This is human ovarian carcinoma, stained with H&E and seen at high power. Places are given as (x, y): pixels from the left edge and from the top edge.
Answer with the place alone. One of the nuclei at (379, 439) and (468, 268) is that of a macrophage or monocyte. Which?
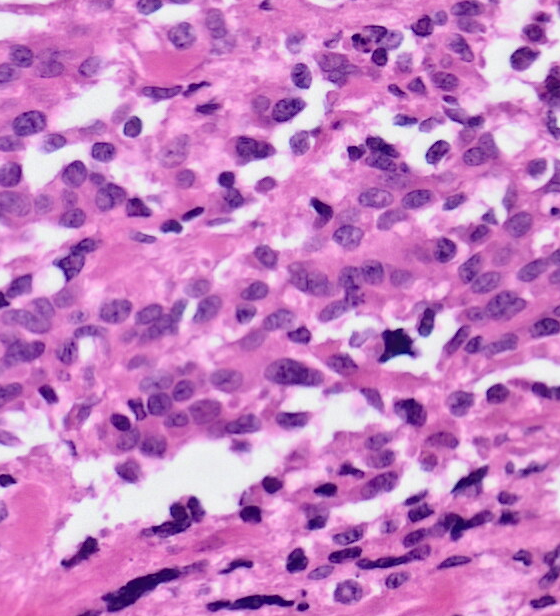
(379, 439)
